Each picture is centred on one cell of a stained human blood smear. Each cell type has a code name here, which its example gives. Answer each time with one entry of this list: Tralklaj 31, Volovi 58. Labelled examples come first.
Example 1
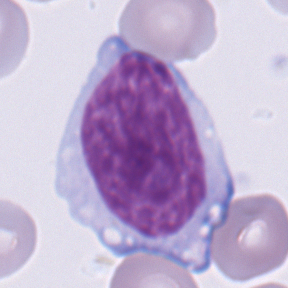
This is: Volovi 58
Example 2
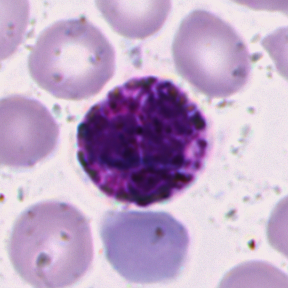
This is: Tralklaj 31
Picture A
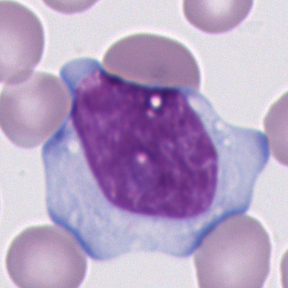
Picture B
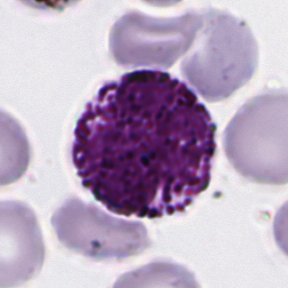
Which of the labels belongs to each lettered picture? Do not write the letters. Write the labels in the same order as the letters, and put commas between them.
Volovi 58, Tralklaj 31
